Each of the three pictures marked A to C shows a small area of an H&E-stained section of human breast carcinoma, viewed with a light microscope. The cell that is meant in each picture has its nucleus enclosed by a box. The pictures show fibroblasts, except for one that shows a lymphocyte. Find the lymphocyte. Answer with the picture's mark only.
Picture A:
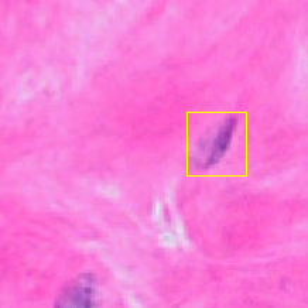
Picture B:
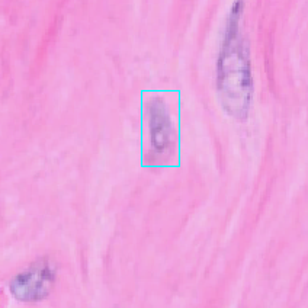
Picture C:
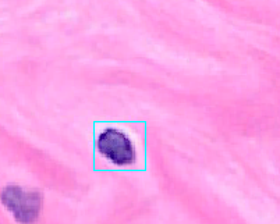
C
